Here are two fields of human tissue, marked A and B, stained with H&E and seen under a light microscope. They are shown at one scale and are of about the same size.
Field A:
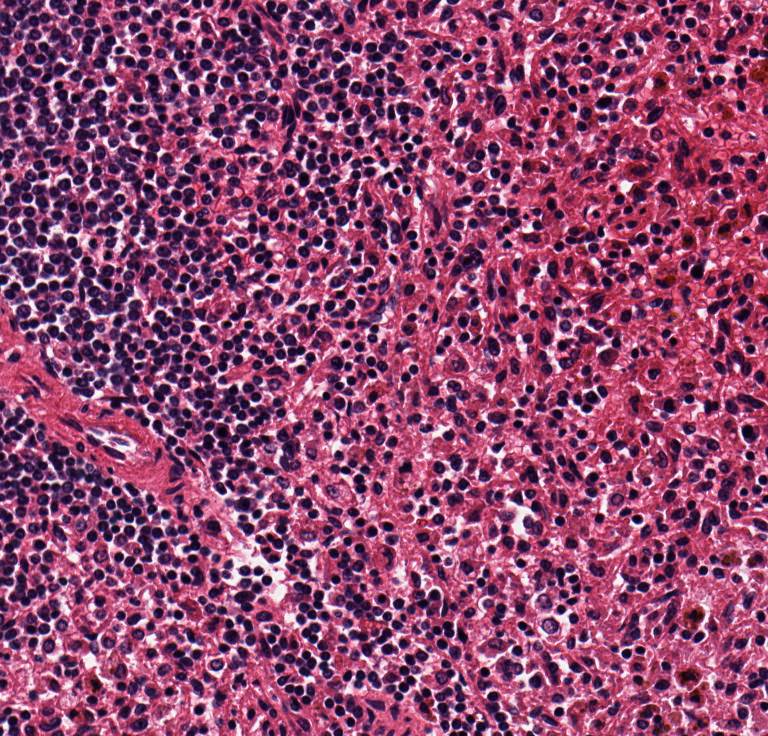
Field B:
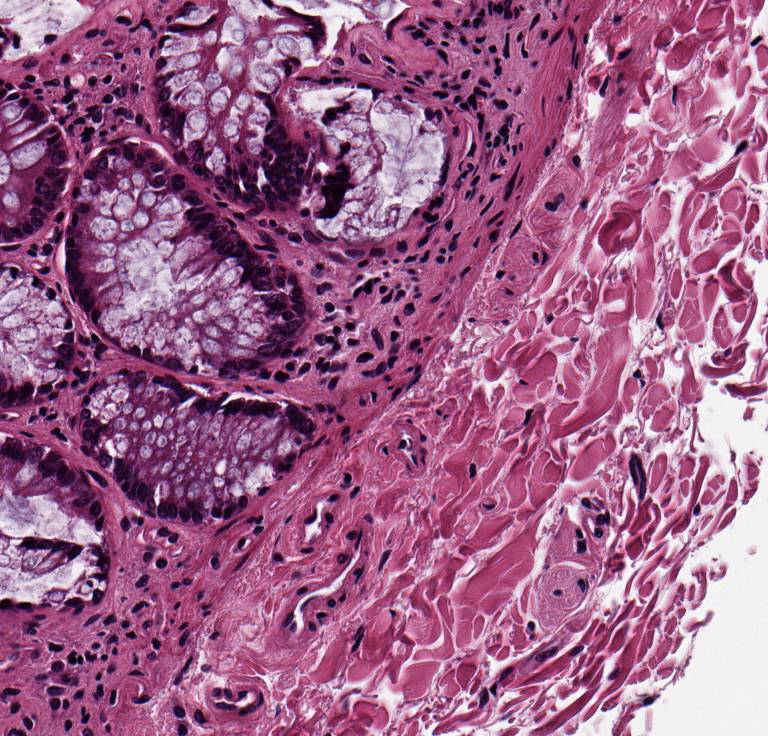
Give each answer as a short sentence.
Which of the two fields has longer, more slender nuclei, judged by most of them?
The nuclei are more elongated in field B.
